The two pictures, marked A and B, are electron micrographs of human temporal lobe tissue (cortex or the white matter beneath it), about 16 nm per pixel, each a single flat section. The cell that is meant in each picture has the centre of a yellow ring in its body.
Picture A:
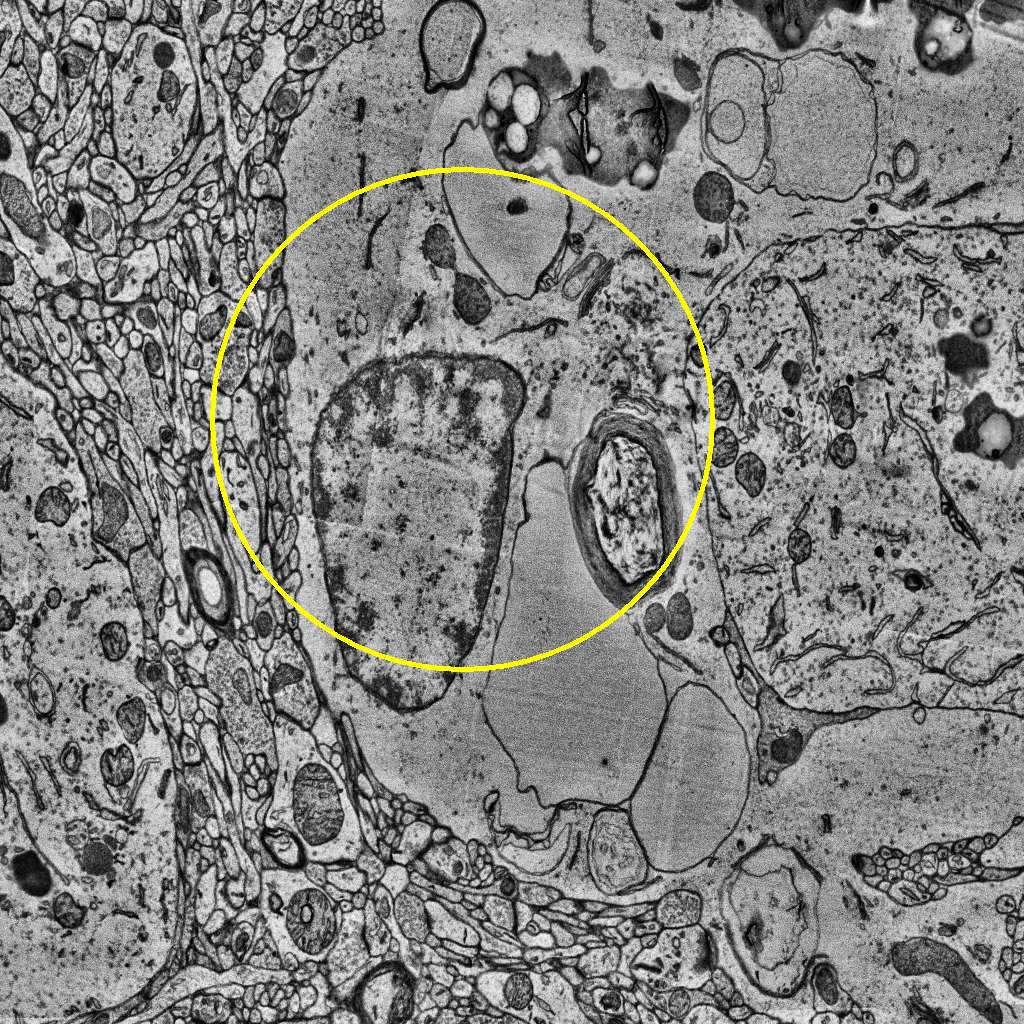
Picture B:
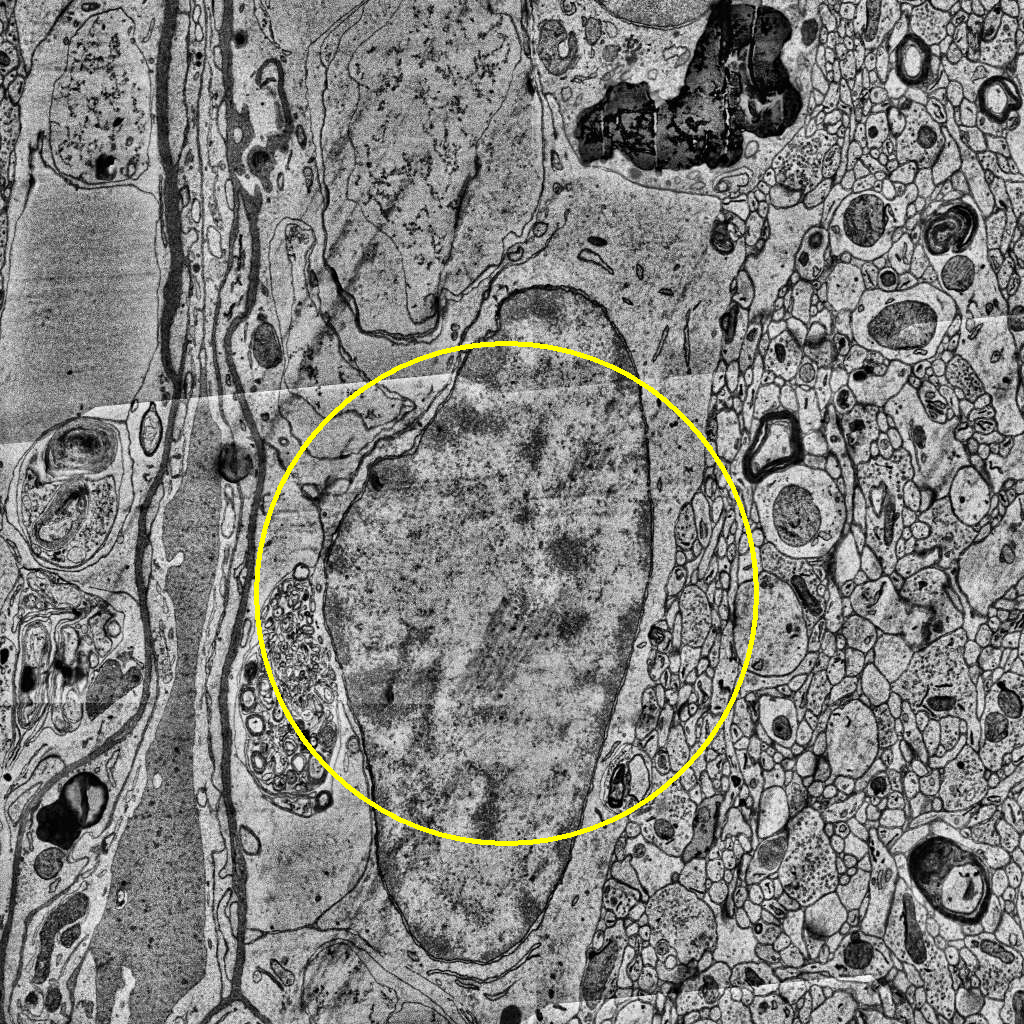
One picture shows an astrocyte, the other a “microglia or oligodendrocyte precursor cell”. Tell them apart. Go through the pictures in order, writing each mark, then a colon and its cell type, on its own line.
A: astrocyte
B: microglia or oligodendrocyte precursor cell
